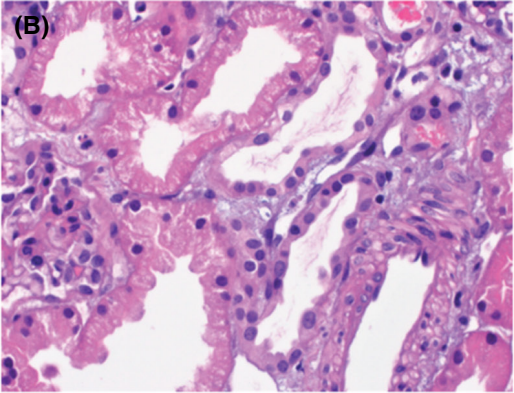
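Here we look at kidney tubules at high power. Two tubules have wide, open lumens, and the cells lining them are flattened into a thin layer rather than standing as tall cuboidal cells. Between the tubules lies a narrow interstitium with spindle-shaped nuclei, and at the edges other tubules show taller pink epithelium for comparison.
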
